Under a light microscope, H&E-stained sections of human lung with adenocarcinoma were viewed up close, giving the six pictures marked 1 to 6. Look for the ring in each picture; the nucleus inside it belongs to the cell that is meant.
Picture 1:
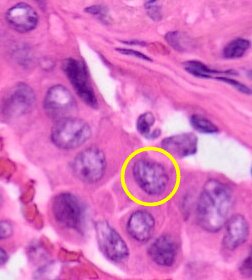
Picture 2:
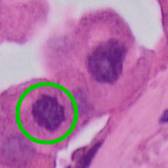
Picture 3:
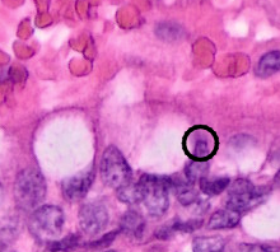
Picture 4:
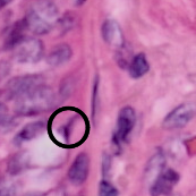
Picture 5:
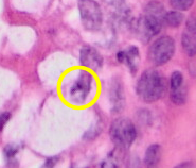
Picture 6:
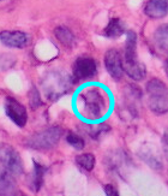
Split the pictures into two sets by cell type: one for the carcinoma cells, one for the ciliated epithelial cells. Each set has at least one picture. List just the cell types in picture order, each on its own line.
carcinoma cell
carcinoma cell
ciliated epithelial cell
ciliated epithelial cell
ciliated epithelial cell
ciliated epithelial cell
